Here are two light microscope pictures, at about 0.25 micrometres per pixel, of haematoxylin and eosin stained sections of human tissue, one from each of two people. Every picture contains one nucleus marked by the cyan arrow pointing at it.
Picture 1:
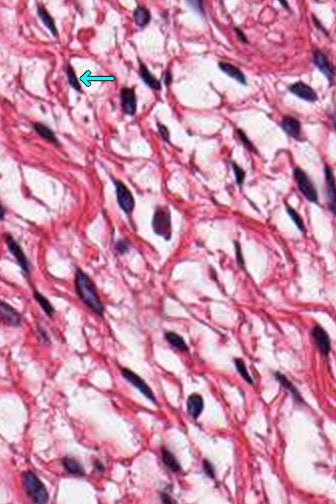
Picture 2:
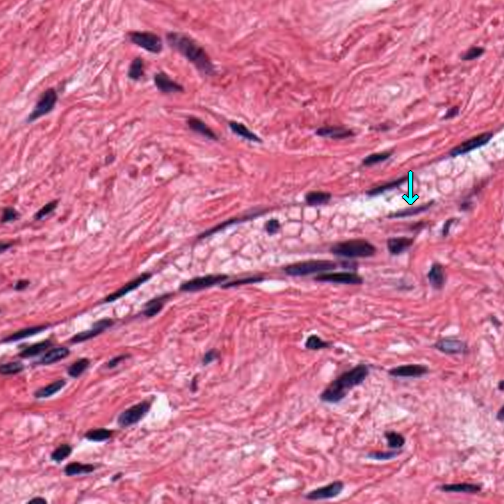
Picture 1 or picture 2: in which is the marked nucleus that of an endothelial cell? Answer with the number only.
2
